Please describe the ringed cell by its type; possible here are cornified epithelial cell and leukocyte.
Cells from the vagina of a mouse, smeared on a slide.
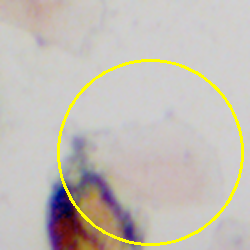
The yellow ring marks a cornified epithelial cell.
